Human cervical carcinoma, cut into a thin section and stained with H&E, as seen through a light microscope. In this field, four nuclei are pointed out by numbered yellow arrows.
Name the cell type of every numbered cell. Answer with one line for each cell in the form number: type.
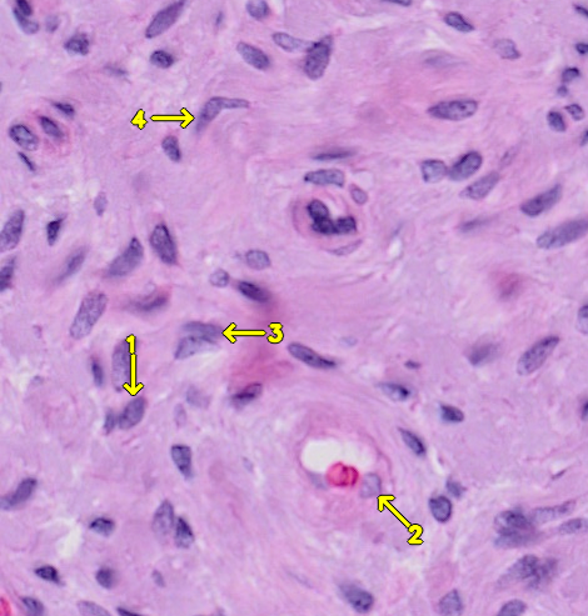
1: fibroblast
2: endothelial cell
3: fibroblast
4: fibroblast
